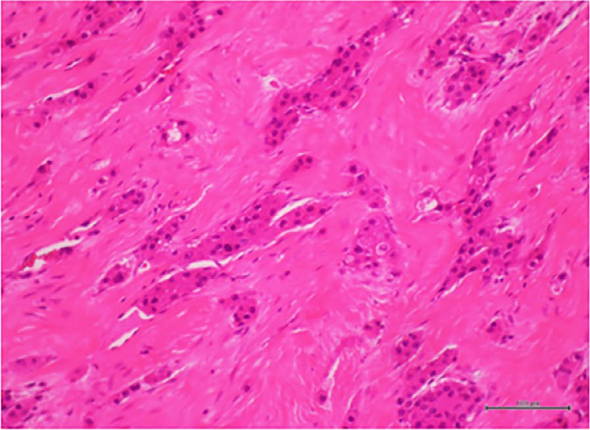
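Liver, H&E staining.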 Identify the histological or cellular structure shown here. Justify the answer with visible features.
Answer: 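Broad bands of dense, glassy pink stroma fill most of the field. The pink bands run in parallel, layered streams between groups of cells. That points to this answer: Thick hyalinized fiber bundles.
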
